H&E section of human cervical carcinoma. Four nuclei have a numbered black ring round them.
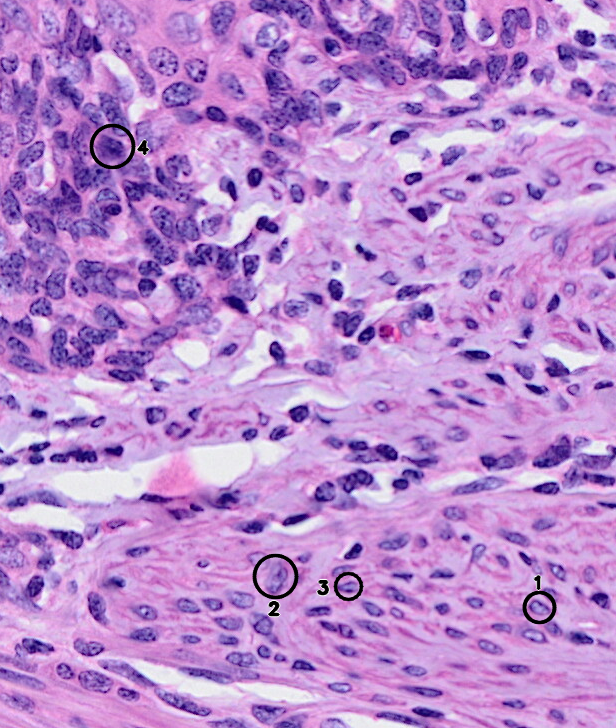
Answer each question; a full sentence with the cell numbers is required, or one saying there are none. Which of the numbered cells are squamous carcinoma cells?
In this set of numbered cells, only cell 4 is a squamous carcinoma cell.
